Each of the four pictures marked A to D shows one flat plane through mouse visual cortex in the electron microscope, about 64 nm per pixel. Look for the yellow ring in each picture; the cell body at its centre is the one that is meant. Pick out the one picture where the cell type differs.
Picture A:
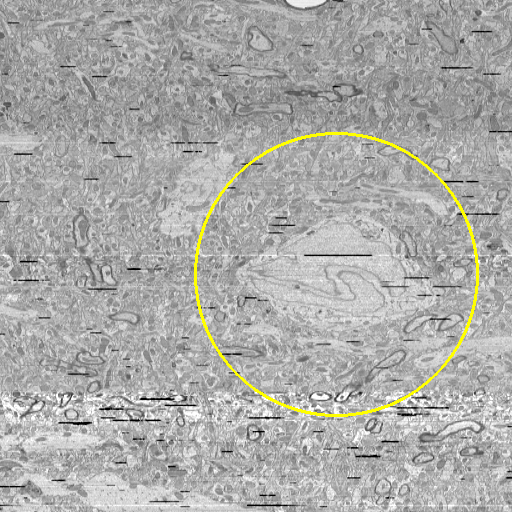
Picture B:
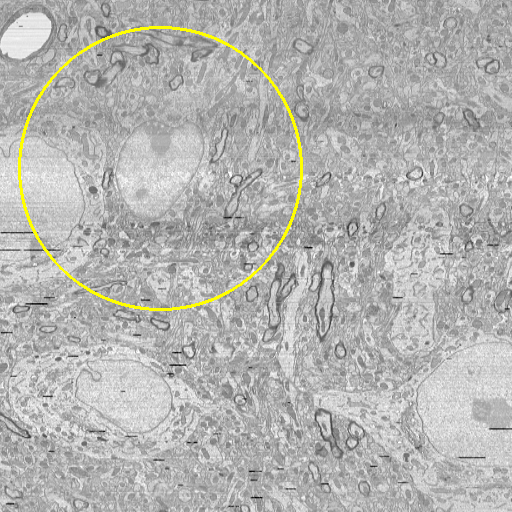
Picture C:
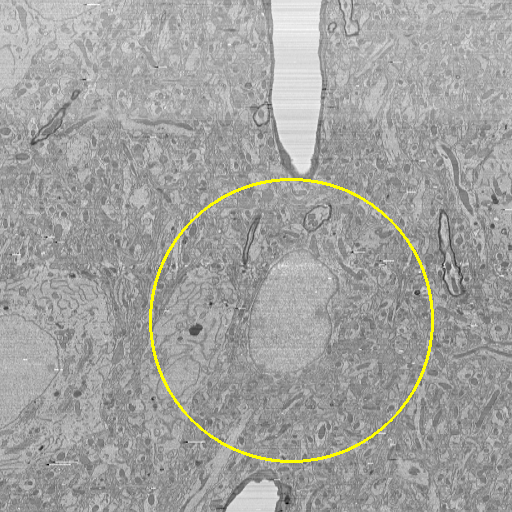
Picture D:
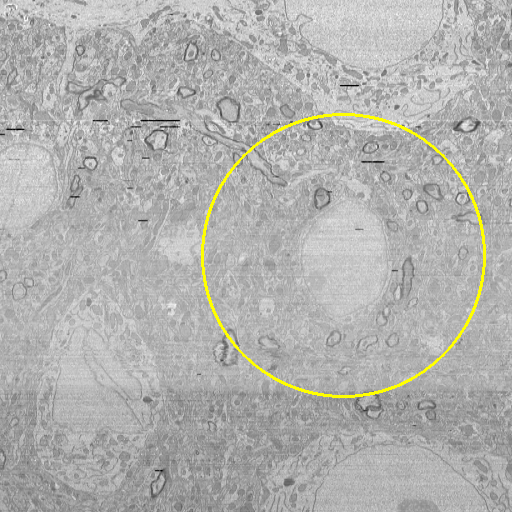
Picture A differs, because its cell is an inhibitory neuron and the rest are astrocytes.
